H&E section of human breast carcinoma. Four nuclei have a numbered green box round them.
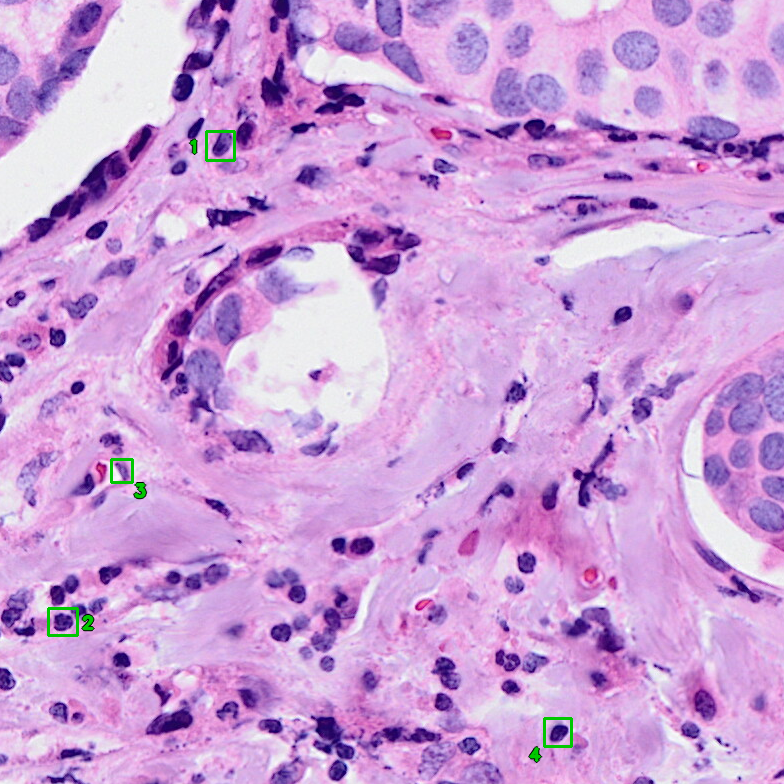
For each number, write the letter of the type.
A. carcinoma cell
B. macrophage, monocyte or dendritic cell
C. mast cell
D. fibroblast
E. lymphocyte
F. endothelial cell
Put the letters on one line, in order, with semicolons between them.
E; E; F; E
